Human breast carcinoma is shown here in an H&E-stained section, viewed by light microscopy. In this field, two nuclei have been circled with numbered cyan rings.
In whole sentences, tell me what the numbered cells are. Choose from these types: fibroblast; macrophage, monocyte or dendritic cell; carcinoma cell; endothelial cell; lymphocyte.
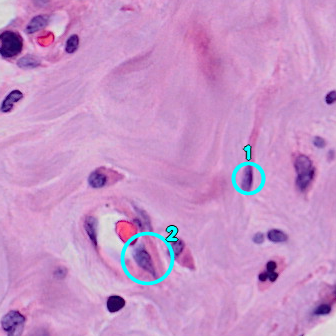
Cell 1 is a fibroblast and cell 2 is an endothelial cell.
